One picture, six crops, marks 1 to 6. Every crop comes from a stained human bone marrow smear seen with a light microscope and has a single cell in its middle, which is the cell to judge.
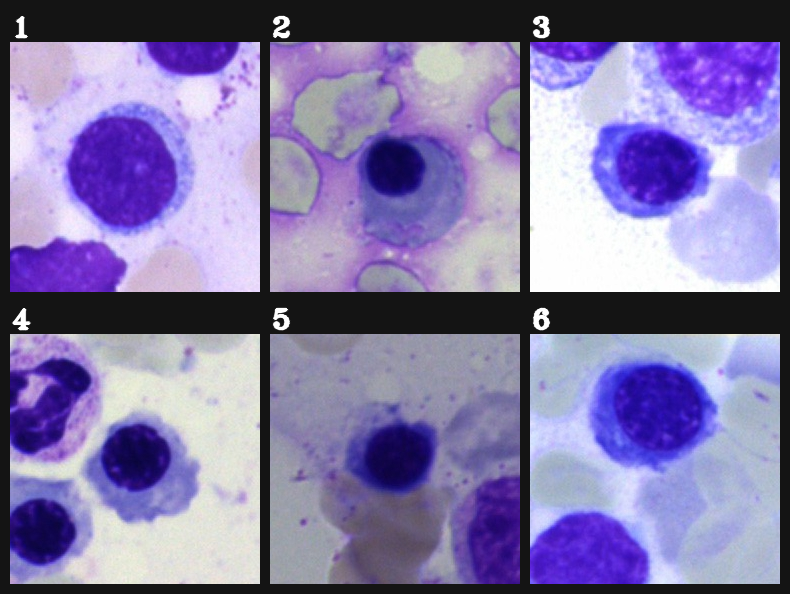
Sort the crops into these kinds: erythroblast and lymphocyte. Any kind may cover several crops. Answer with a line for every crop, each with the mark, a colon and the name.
1: lymphocyte
2: erythroblast
3: erythroblast
4: erythroblast
5: erythroblast
6: erythroblast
